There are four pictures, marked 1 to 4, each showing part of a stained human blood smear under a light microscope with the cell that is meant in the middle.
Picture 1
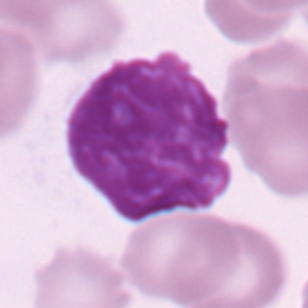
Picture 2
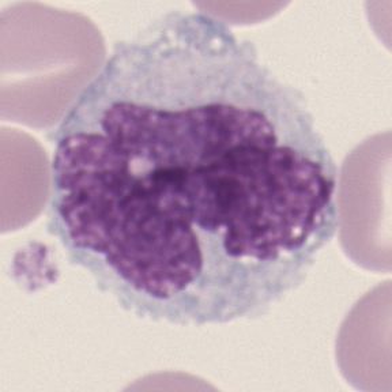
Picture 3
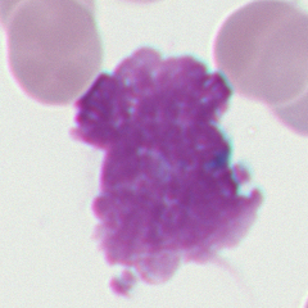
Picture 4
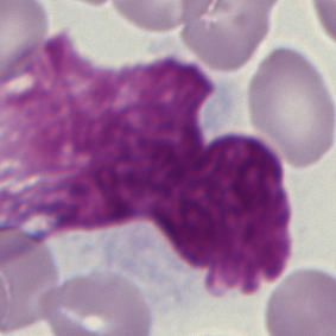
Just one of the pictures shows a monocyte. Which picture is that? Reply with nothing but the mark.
2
